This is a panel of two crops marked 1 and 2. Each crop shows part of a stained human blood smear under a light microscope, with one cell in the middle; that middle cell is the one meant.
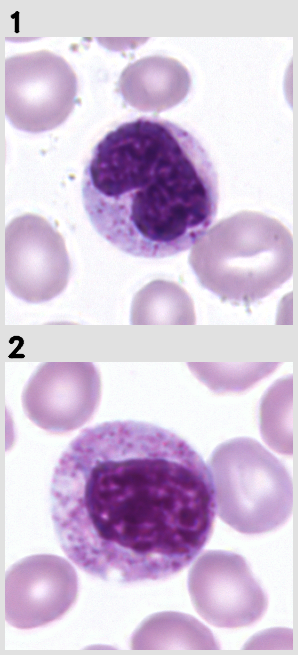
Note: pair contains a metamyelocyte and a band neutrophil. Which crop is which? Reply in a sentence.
The cell that crop 1 centres on is a band neutrophil, and the cell that crop 2 centres on is a metamyelocyte.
